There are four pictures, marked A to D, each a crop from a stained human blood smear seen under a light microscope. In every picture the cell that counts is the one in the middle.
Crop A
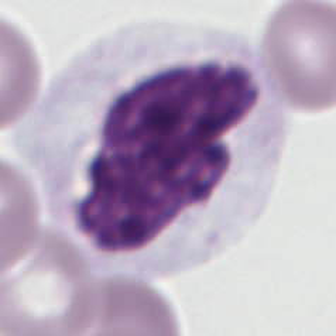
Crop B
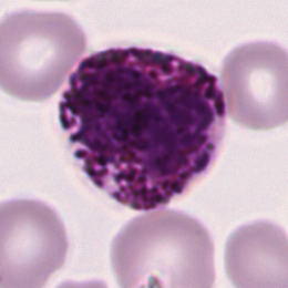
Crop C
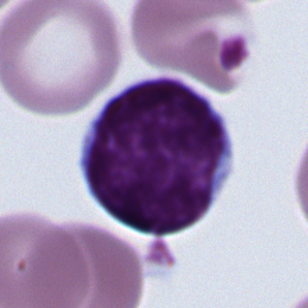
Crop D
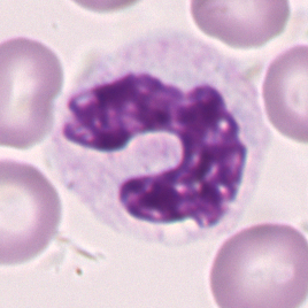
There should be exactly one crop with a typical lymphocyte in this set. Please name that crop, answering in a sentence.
In the set of crops, crop C is the one that contains a typical lymphocyte.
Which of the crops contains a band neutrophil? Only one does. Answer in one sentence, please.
The one that shows a band neutrophil is crop D.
